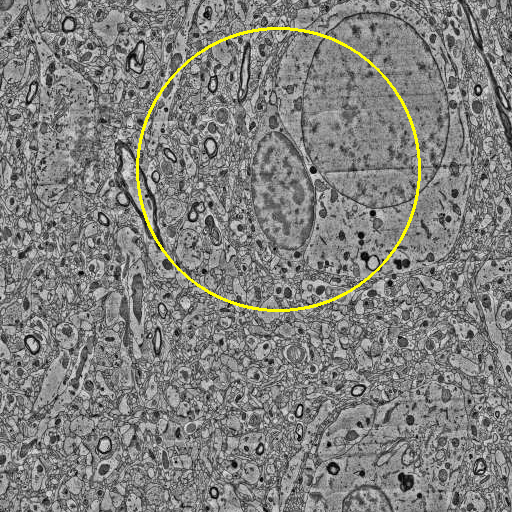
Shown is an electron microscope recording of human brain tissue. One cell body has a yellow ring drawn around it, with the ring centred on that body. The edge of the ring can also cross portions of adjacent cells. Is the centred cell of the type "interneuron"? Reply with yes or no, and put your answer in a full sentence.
No, in the picture, the cell on which the ring is centred has a different type.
